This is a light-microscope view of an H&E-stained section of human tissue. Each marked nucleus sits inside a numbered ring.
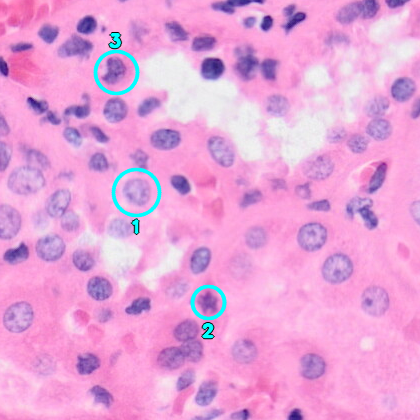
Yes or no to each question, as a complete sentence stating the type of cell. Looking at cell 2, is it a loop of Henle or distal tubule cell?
No, the cell labelled number 2 is not a loop of Henle or distal tubule cell; it is a proximal tubule cell.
